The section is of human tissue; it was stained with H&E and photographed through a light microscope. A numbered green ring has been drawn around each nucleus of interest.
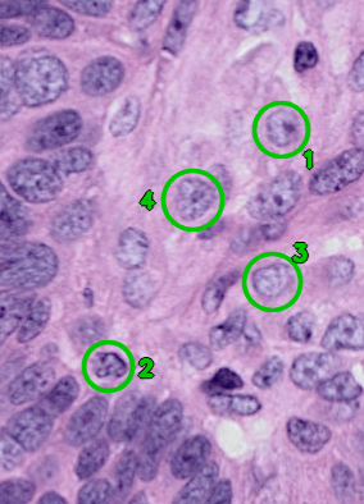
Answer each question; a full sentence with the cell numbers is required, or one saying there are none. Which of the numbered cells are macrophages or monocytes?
There is only one numbered cell that is a macrophage or monocyte, and it is cell 2.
